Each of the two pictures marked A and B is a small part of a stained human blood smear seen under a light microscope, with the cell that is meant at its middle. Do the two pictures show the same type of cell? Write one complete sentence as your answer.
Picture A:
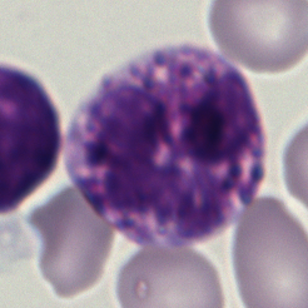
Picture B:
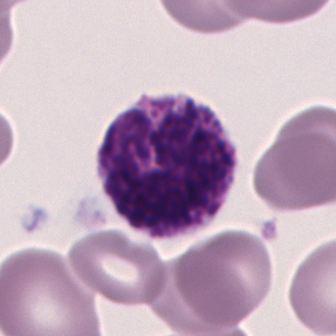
Yes, they are the same type: both are basophils.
